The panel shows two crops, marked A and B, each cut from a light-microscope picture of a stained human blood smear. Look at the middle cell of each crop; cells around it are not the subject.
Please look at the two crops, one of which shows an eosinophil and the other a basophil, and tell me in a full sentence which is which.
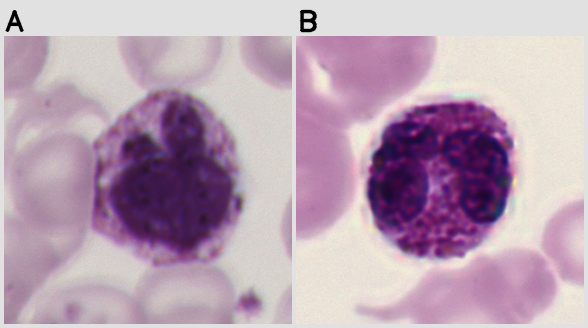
The cell that crop A centres on is a basophil, and the cell that crop B centres on is an eosinophil.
